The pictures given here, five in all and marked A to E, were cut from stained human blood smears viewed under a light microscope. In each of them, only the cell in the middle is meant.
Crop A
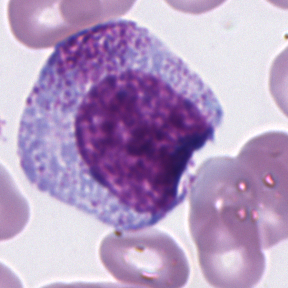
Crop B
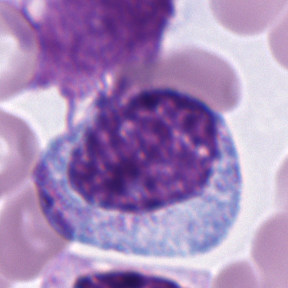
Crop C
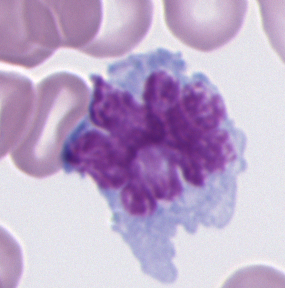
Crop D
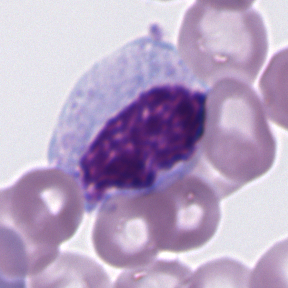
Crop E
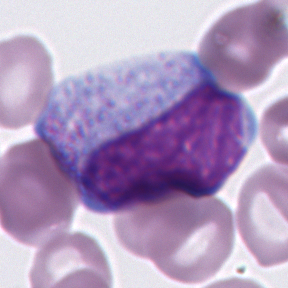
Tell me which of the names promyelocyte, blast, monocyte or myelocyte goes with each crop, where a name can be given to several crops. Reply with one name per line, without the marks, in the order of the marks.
promyelocyte
promyelocyte
monocyte
monocyte
promyelocyte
